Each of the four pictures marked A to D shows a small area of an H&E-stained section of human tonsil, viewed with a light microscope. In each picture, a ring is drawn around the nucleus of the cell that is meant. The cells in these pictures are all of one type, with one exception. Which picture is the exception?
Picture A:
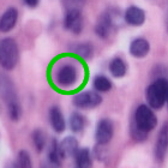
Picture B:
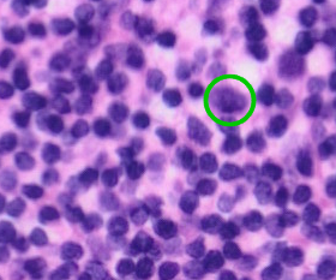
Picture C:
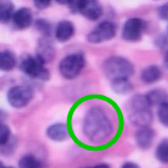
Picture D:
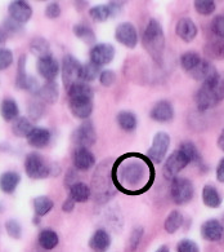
B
